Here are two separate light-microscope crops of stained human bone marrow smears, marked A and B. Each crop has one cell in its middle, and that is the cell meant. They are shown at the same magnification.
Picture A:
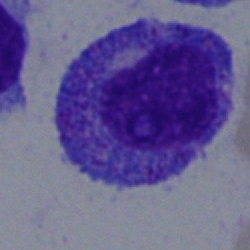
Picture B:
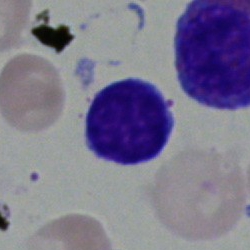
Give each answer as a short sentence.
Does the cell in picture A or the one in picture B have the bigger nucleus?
Larger is the nucleus in picture A, at roughly 2 times the area of the other.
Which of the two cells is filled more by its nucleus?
Of the two, the nucleus in picture B makes up the greater part of its cell.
